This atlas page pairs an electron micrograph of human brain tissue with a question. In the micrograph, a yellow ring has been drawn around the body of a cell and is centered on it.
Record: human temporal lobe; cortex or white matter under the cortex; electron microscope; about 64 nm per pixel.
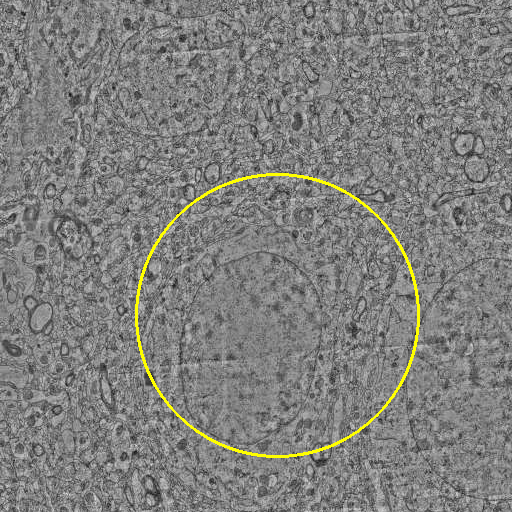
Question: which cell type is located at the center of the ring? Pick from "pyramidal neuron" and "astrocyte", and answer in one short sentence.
Located at the center of the ring is a pyramidal neuron.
